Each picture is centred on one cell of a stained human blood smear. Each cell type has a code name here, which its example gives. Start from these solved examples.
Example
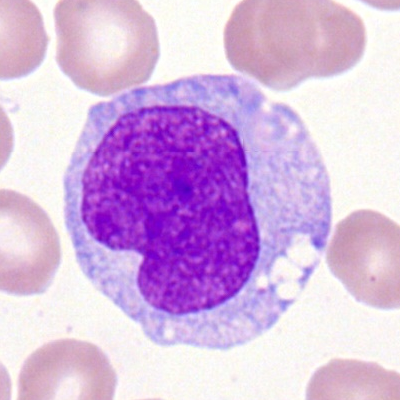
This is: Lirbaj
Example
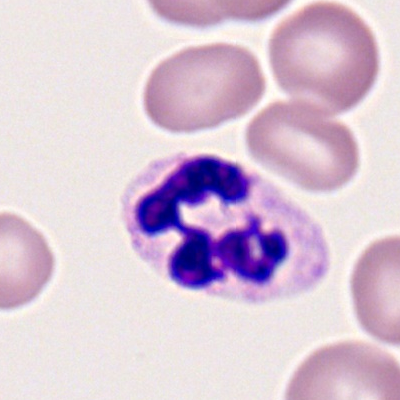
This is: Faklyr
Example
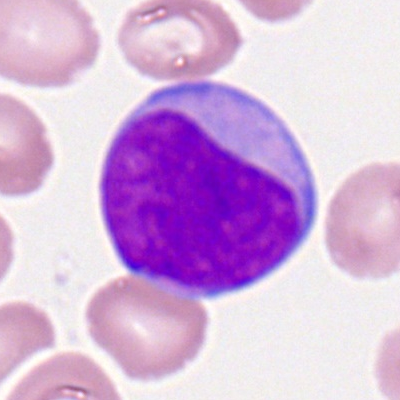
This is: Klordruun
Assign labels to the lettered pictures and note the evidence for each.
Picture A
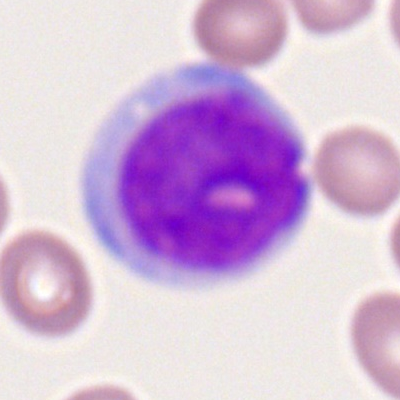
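Klordruun: The cytoplasm is a narrow rim that is wider on the left side than on the right.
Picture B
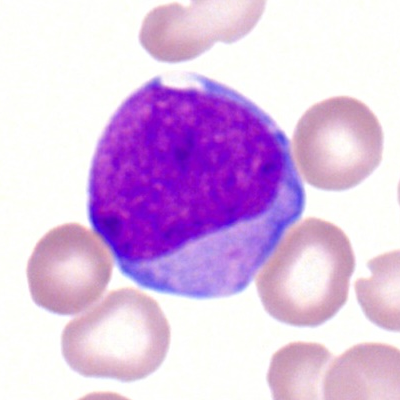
Klordruun: The nucleus fills most of the cell, leaving a crescent of cytoplasm toward the lower right.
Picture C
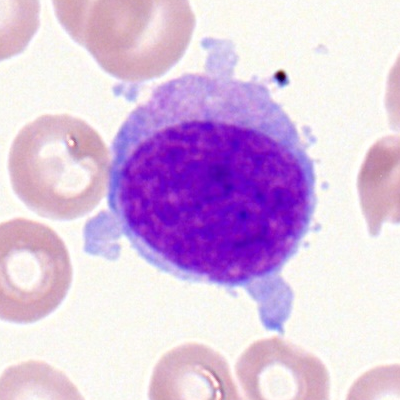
Klordruun: The nucleus fills most of the cell, leaving a modest rim of cytoplasm.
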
